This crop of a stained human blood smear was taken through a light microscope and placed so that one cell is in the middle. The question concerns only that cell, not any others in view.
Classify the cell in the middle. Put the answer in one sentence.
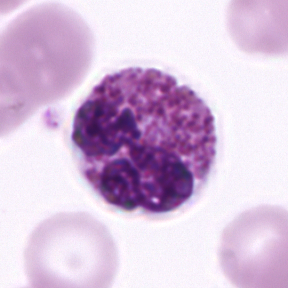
The cell in the middle of the field of view is an eosinophil.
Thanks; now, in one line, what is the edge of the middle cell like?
Nothing juts out from the margin, which is smooth throughout.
